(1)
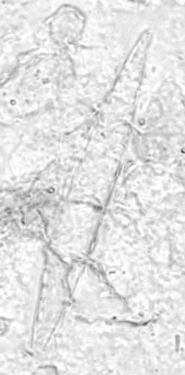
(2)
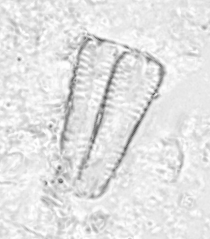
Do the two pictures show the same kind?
No: Nitzschia, then Gomphonema.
